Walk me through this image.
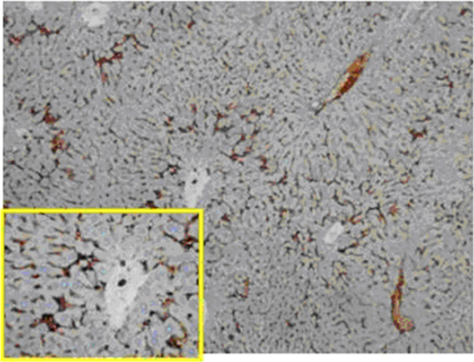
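The stained cells are irregular and stellate, with short branching processes stretched along the sinusoidal walls, and they are scattered rather than clustered. The hepatocytes are pale and unstained, their nuclei faintly blue, and the plates keep an orderly arrangement around a central vein. The enlarged inset shows the brown cells hugging the sinusoids around a vein lumen.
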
